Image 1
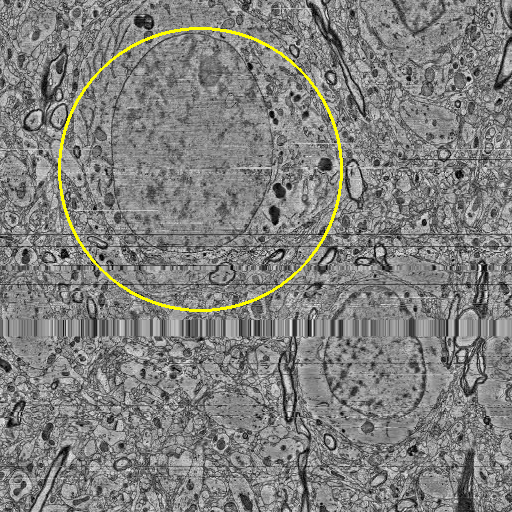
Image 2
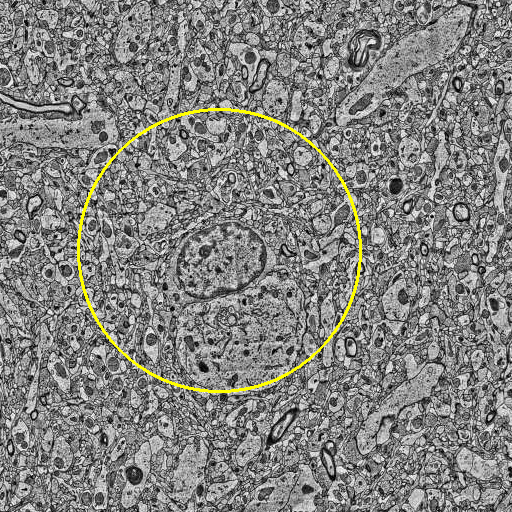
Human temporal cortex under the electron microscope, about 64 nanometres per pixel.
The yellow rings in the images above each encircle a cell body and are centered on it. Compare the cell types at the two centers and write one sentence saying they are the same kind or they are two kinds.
Taken together, the two cells at the ring centers are two kinds.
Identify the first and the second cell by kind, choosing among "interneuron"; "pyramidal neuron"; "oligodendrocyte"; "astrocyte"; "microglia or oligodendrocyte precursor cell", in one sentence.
The one in the first picture is a pyramidal neuron, while the one in the second is an oligodendrocyte.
